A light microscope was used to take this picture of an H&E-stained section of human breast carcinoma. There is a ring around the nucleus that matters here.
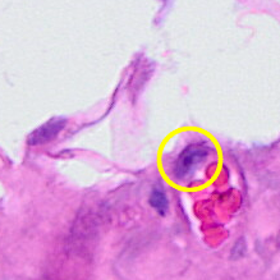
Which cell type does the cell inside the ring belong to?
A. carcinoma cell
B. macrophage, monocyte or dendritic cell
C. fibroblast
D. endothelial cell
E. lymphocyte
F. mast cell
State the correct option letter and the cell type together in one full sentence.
What option D states, that the cell inside the ring is an endothelial cell, is correct.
